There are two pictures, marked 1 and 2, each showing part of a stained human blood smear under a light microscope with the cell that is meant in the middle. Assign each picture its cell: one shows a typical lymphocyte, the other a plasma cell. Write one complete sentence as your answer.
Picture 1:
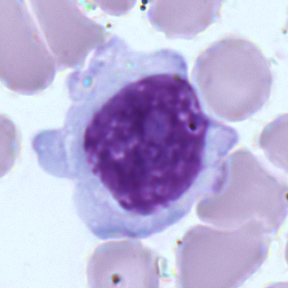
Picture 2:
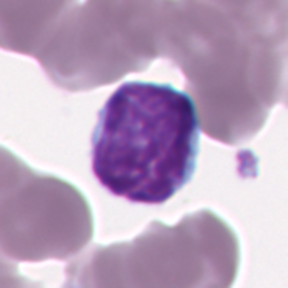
In picture 1 the cell is a plasma cell; in picture 2, a typical lymphocyte.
